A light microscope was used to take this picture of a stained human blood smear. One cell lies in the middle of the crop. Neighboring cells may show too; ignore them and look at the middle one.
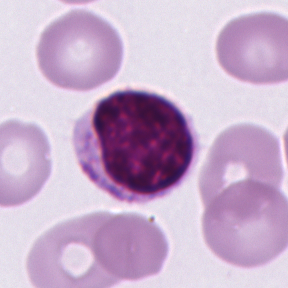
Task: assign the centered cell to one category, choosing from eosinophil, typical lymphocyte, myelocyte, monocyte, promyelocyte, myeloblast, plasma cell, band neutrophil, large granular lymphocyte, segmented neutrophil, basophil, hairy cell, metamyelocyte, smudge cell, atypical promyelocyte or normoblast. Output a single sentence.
The cell positioned in the middle of the field is a large granular lymphocyte.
